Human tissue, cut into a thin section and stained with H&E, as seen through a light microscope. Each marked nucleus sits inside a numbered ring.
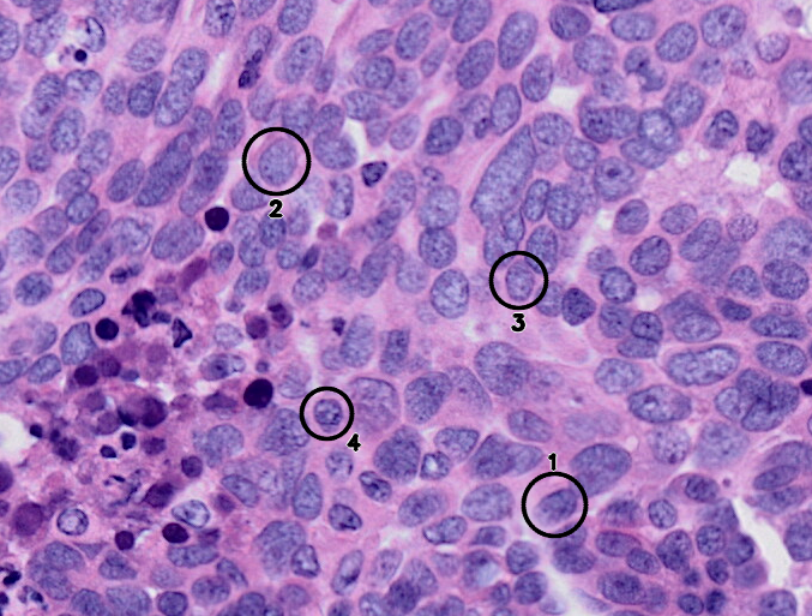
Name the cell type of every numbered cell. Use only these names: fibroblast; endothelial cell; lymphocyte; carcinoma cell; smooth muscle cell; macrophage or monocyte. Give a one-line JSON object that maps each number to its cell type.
{"1": "carcinoma cell", "2": "carcinoma cell", "3": "carcinoma cell", "4": "macrophage or monocyte"}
